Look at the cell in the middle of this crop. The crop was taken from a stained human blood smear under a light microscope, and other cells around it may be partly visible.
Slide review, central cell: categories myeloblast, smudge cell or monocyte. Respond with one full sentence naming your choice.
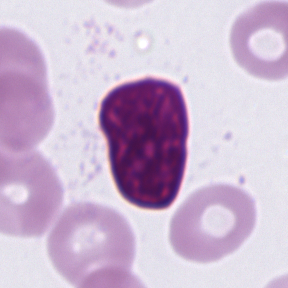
Present in the middle of the crop is a smudge cell.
